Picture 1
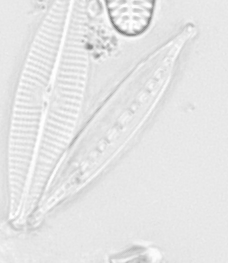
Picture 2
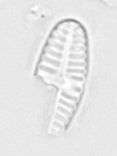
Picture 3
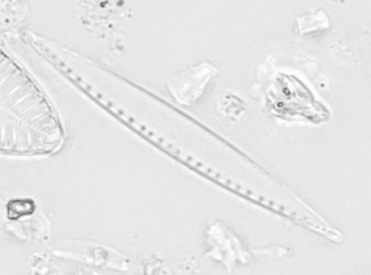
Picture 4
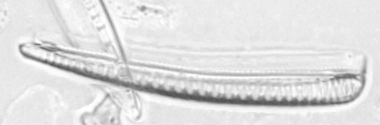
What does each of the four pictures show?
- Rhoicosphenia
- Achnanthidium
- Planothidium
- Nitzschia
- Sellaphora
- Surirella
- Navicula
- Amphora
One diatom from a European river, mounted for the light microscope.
1. Nitzschia
2. Planothidium
3. Nitzschia
4. Rhoicosphenia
